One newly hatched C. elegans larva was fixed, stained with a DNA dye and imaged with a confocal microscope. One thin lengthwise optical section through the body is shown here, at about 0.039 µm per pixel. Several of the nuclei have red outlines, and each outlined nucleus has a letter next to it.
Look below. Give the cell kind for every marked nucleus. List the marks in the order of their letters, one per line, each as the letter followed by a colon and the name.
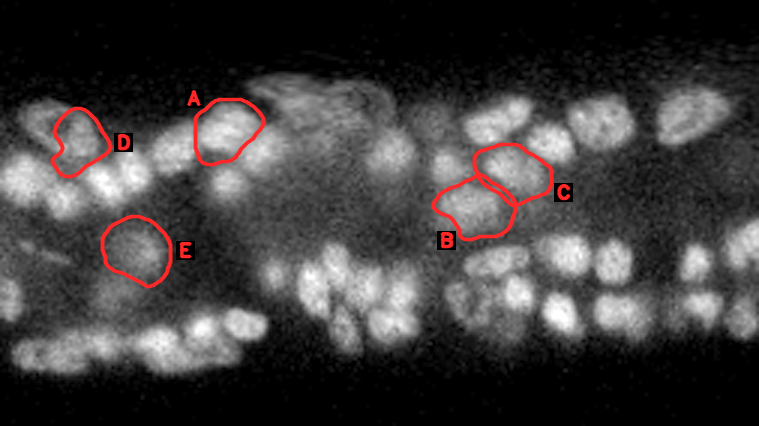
A: neuron
B: pharyngeal marginal cell
C: pharyngeal muscle cell
D: hypodermal cell (hyp)
E: neuron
